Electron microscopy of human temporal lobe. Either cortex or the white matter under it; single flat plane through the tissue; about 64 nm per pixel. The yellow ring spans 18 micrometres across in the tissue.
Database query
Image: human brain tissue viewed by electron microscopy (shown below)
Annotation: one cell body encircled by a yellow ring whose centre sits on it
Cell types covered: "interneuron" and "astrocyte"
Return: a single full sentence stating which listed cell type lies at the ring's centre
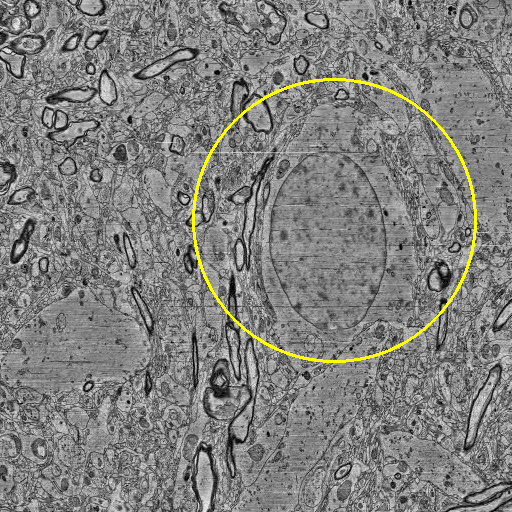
In the image, the cell lying at the ring's centre is an astrocyte.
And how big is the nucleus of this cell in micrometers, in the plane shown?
In this plane the nucleus is roughly 12 by 7 micrometres, clearly longer than it is wide.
